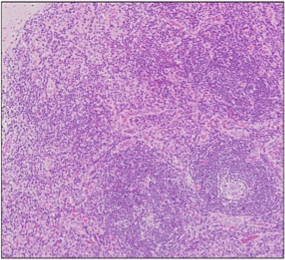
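Lymph node at low power with small, atrophic lymphoid follicles in which lymphocytes are layered concentrically around small central structures. The spaces between the follicles are widened and paler, with many small vessels among scattered lymphocytes.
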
